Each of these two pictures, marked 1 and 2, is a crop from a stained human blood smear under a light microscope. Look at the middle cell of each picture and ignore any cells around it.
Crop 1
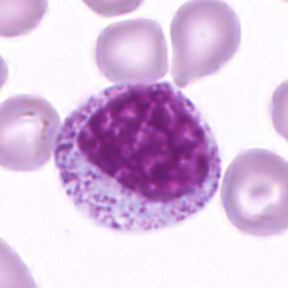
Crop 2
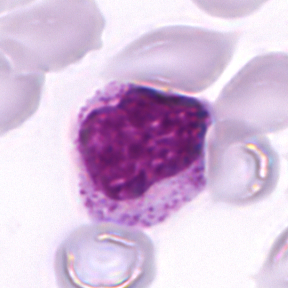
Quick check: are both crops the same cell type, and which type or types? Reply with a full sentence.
No, the correct reading is a metamyelocyte in crop 1 and a band neutrophil in crop 2.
